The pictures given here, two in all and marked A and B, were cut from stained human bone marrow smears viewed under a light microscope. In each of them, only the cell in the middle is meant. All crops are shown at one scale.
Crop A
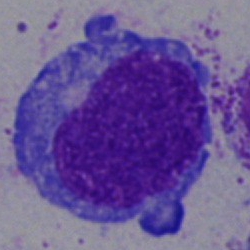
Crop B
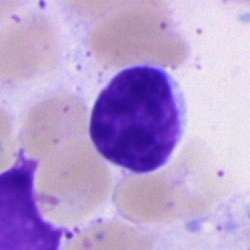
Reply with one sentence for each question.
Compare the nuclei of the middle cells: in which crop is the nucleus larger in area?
Larger is the nucleus in crop A, at roughly 2.5 times the area of the other.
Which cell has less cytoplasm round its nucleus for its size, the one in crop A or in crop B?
In crop B the nucleus takes up the larger part of its cell.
